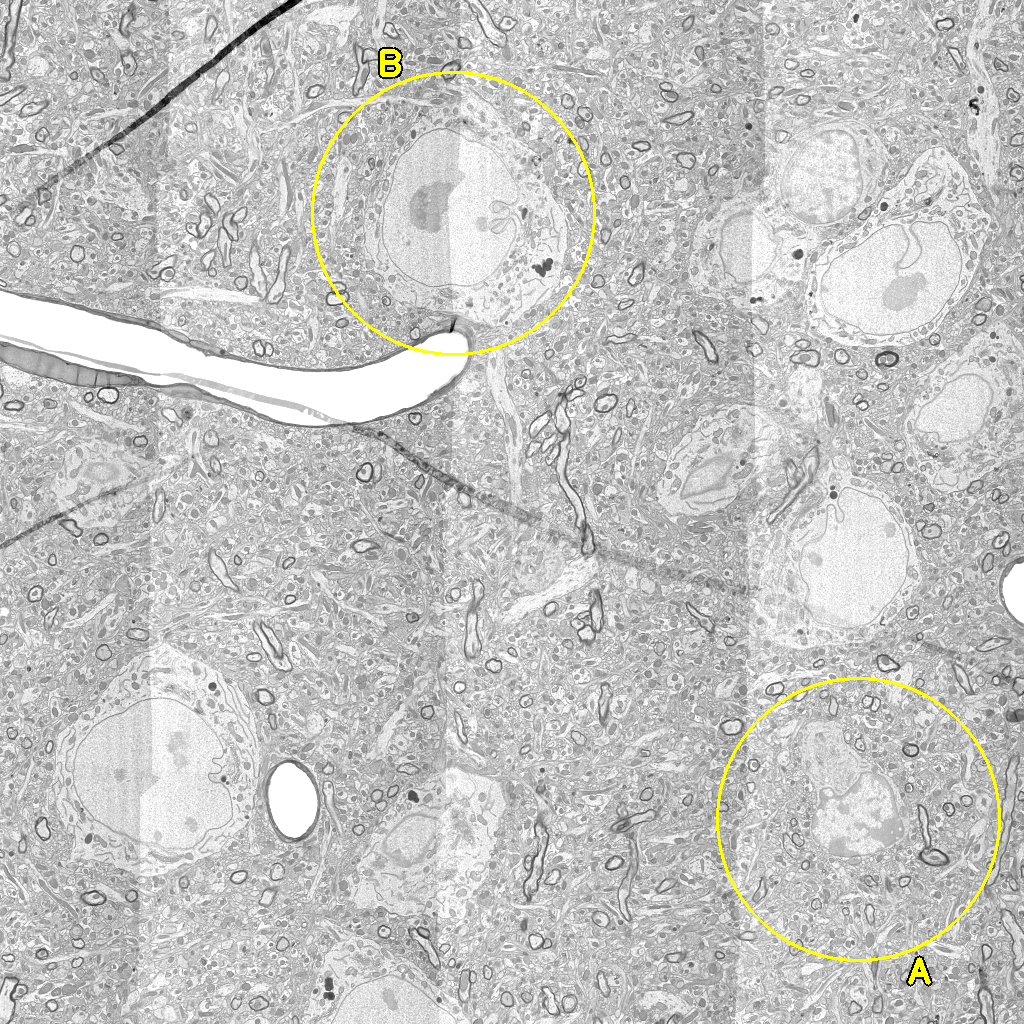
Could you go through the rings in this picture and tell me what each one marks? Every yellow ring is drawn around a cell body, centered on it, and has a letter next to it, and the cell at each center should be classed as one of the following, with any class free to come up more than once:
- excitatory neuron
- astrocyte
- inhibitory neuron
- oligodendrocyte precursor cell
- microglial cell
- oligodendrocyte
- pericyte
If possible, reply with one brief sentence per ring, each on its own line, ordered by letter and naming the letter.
The cell centered in ring A is an oligodendrocyte.
The cell centered in ring B is an excitatory neuron.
